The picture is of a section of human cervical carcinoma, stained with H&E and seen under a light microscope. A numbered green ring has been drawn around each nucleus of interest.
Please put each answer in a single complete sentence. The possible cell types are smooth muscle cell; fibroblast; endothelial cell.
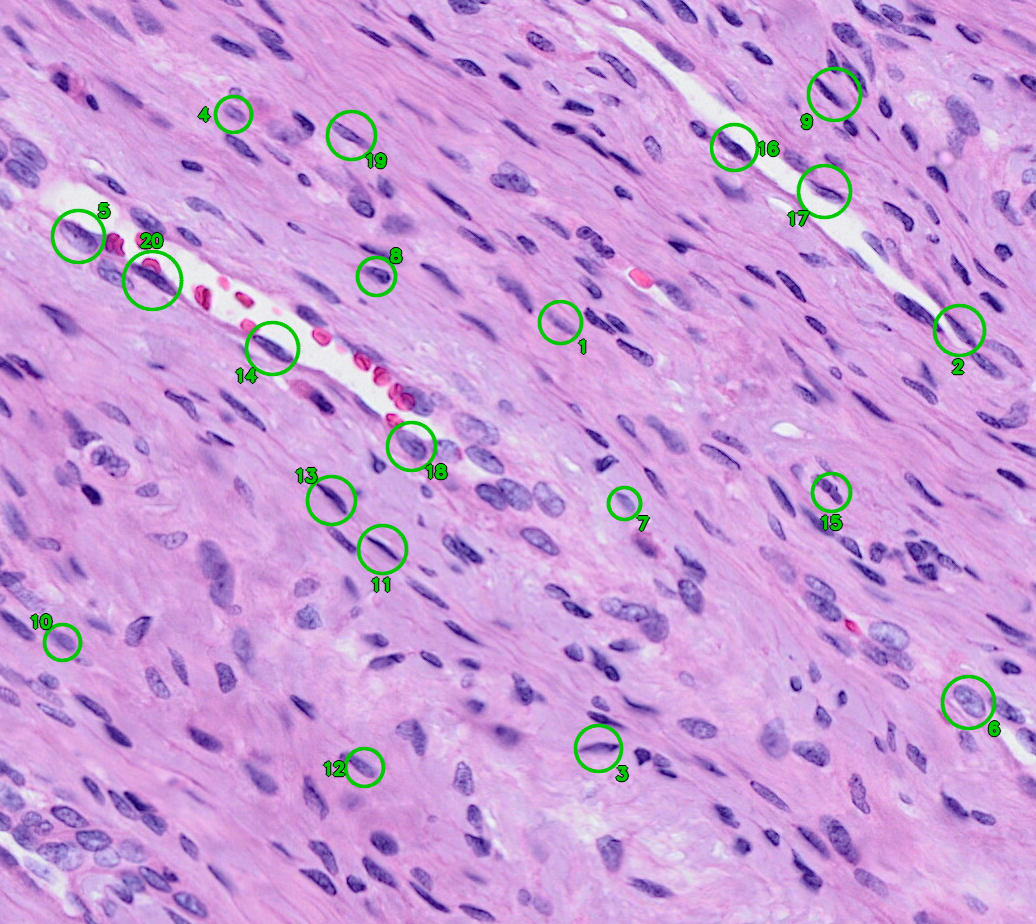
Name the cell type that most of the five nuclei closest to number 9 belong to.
Around number 9, most of the five nearest nuclei are those of fibroblasts.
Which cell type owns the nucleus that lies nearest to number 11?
It is a fibroblast whose nucleus is nearest to number 11.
